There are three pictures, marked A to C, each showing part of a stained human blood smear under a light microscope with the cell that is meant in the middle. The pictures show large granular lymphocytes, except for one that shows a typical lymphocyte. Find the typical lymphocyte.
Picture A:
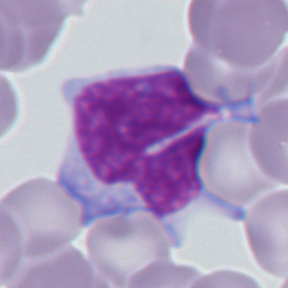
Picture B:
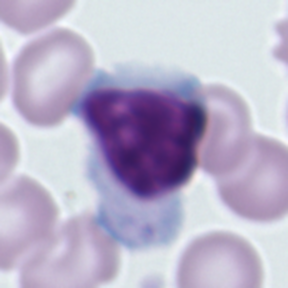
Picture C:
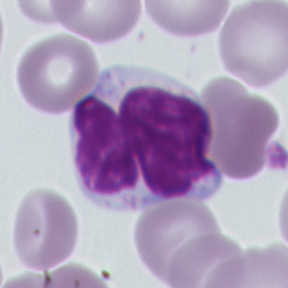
A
